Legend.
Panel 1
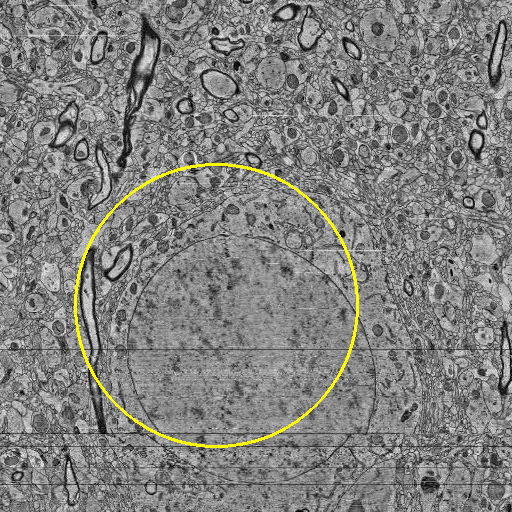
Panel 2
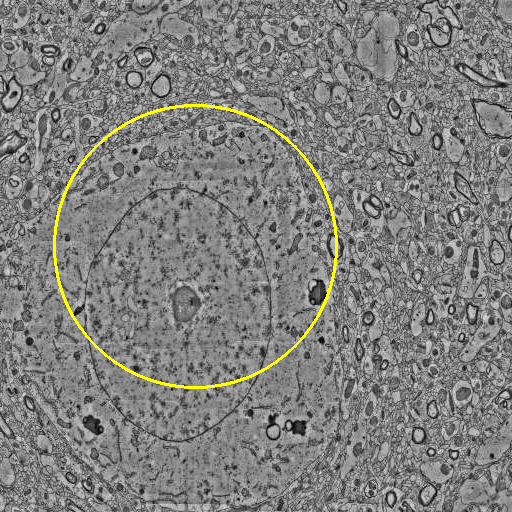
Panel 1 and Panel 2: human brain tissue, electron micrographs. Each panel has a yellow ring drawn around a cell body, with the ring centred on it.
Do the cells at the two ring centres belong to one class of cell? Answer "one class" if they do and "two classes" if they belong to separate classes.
one class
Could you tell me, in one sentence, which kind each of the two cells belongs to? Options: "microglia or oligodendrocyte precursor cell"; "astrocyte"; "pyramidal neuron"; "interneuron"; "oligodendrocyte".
In each of the two pictures, the ringed cell is a pyramidal neuron.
